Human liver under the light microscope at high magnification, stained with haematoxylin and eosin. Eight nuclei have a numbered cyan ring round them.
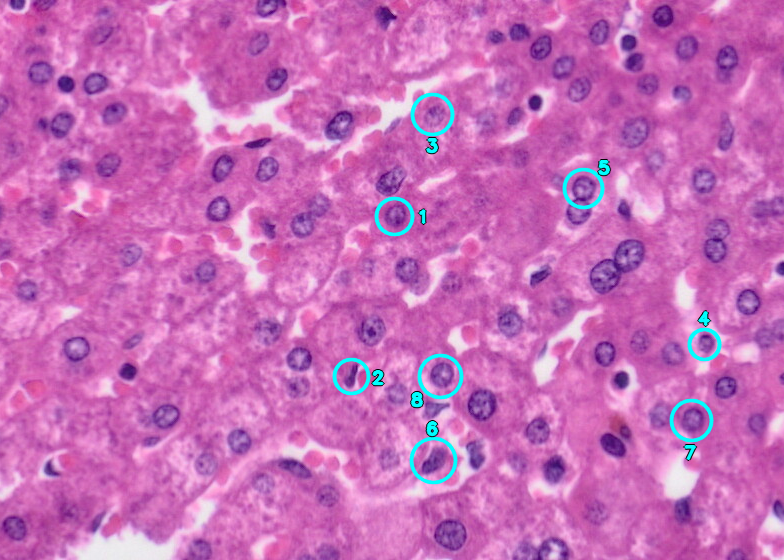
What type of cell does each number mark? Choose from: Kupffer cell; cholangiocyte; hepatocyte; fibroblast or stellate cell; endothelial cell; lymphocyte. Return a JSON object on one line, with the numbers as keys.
{"1": "hepatocyte", "2": "endothelial cell", "3": "hepatocyte", "4": "Kupffer cell", "5": "hepatocyte", "6": "Kupffer cell", "7": "hepatocyte", "8": "hepatocyte"}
